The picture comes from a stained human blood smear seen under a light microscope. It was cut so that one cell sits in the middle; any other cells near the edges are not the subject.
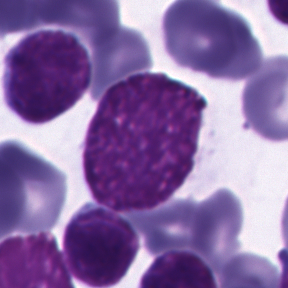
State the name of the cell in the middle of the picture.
myeloblast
